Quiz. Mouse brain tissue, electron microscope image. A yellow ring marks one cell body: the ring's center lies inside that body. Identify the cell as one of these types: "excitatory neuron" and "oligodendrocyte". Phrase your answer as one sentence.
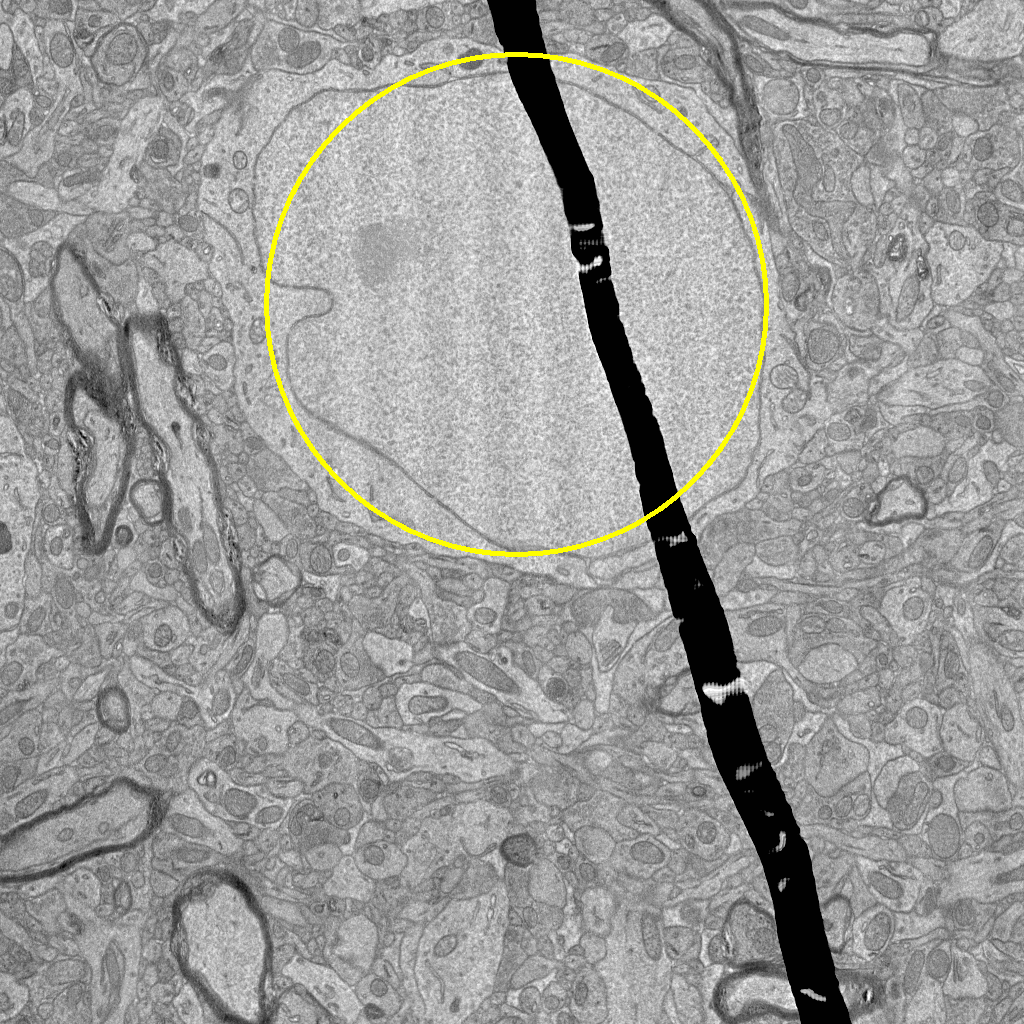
At the center of the ring sits an excitatory neuron.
